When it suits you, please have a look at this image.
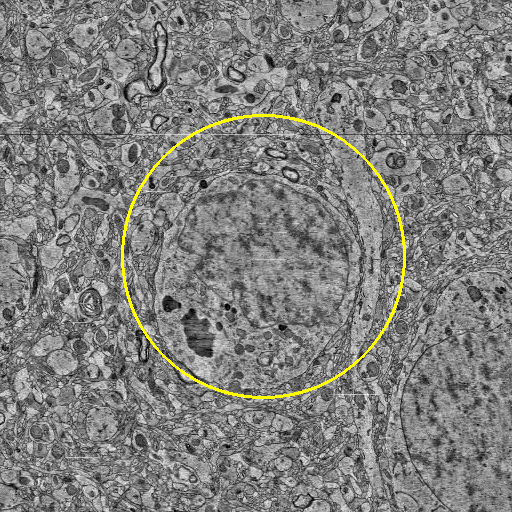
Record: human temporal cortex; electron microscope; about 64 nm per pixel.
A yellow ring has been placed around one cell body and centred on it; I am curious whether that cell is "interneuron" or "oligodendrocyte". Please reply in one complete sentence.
The ringed cell, an interneuron, has its body at the centre of the yellow ring.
